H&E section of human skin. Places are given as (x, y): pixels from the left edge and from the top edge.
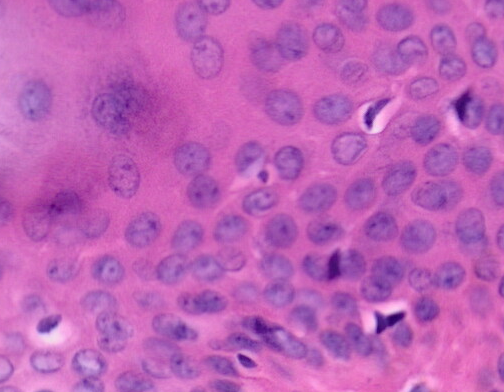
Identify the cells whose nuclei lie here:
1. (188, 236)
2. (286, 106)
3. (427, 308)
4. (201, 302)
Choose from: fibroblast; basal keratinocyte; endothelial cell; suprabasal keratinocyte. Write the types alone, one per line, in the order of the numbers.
suprabasal keratinocyte
suprabasal keratinocyte
basal keratinocyte
suprabasal keratinocyte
